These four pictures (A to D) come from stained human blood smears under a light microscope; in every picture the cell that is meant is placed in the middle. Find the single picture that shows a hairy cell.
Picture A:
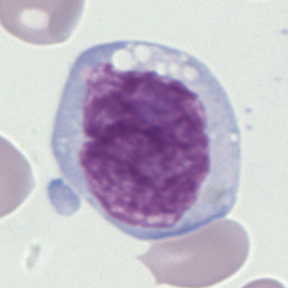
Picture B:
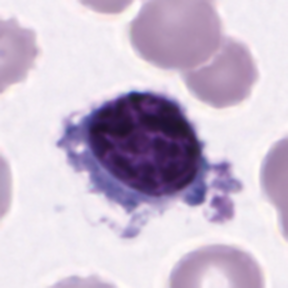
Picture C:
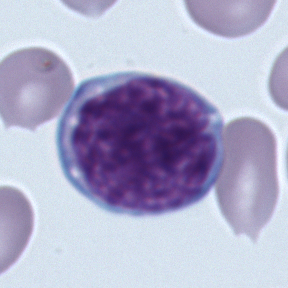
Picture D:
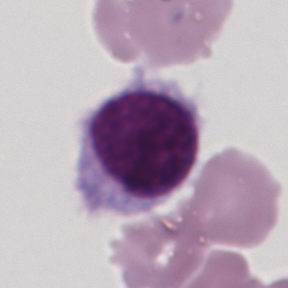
D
